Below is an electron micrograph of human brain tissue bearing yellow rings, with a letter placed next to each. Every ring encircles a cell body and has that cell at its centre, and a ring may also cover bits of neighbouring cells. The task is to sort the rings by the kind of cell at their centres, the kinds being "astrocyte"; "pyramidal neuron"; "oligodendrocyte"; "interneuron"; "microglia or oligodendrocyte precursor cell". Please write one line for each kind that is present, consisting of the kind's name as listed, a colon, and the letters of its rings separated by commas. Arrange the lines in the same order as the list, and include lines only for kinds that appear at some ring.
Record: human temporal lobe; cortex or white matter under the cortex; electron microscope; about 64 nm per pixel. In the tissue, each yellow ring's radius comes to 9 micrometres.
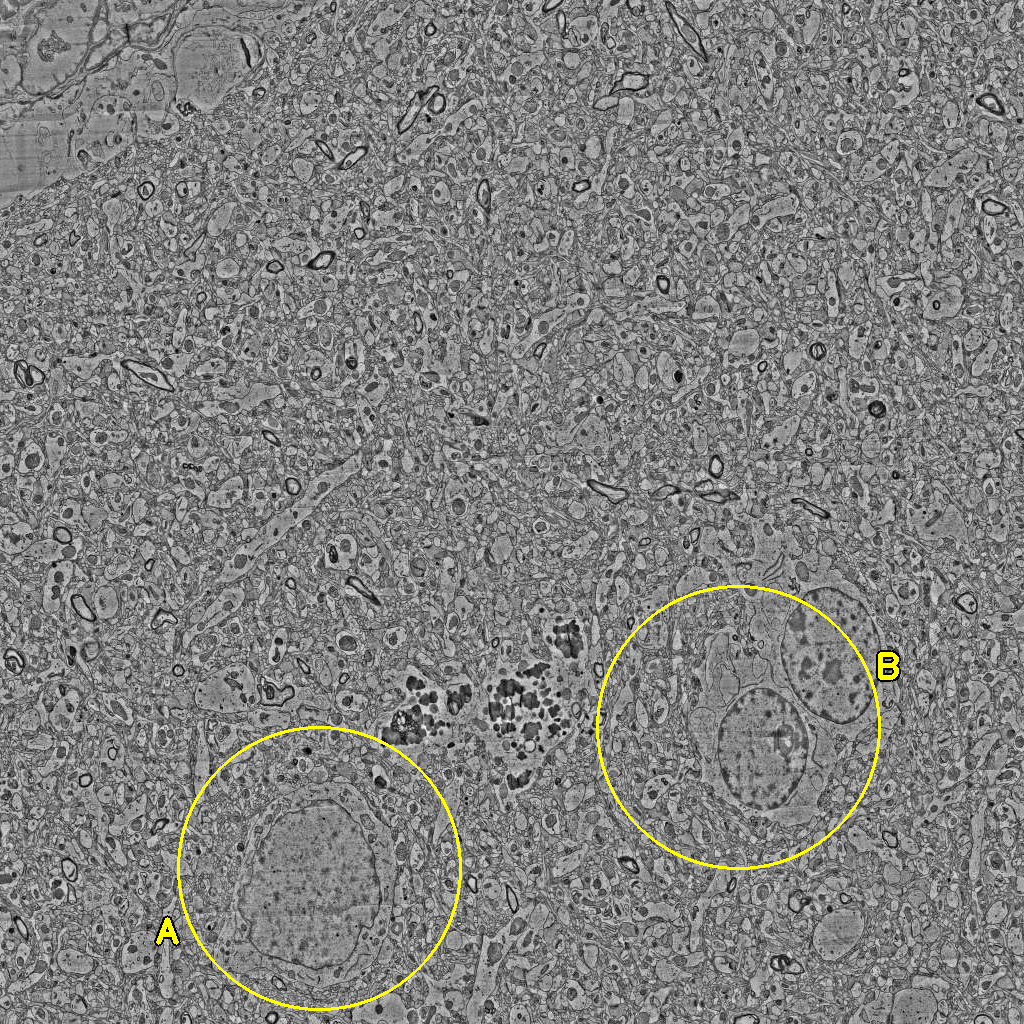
astrocyte: B
interneuron: A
